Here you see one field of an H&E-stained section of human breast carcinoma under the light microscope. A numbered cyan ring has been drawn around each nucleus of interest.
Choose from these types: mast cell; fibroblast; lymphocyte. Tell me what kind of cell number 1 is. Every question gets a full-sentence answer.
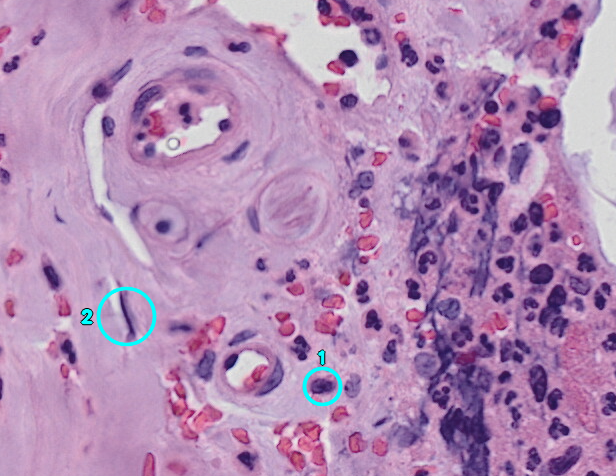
Belonging to a mast cell is the nucleus that carries the number 1.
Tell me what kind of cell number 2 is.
The cell indicated by marker 2 is a fibroblast in this section.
